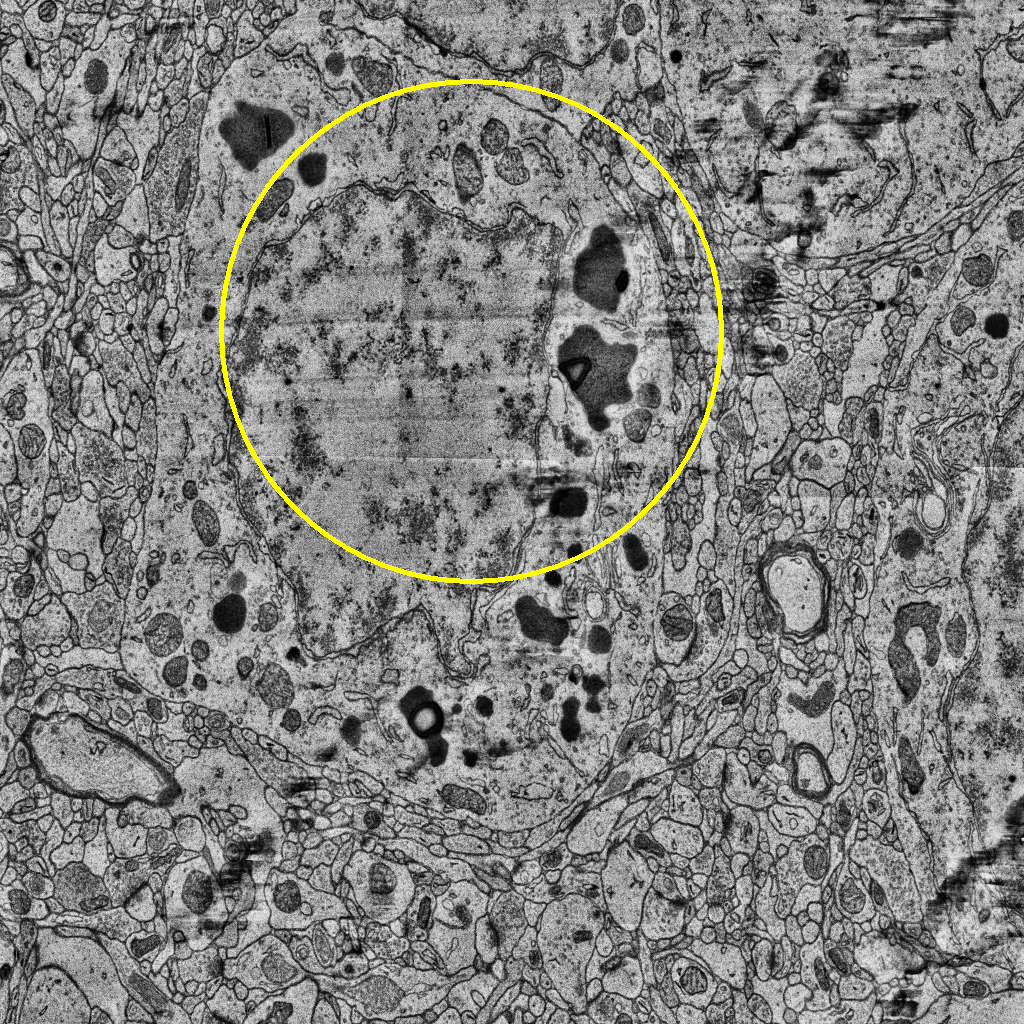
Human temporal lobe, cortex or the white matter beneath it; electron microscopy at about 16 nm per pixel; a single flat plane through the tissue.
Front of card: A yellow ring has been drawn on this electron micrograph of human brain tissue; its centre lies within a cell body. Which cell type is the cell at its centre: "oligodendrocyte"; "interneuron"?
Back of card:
interneuron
